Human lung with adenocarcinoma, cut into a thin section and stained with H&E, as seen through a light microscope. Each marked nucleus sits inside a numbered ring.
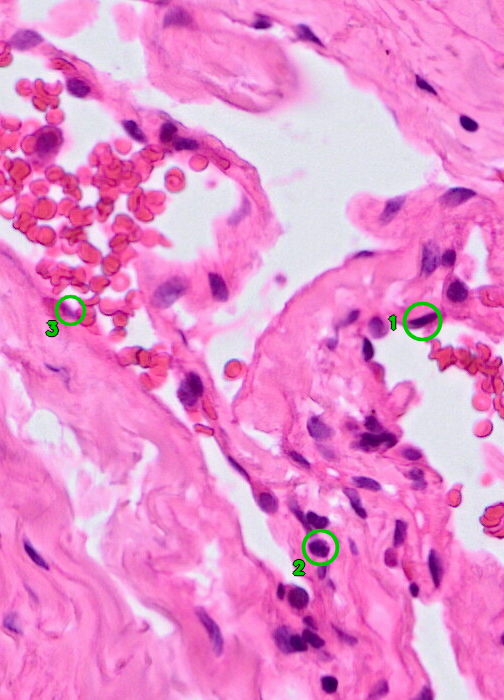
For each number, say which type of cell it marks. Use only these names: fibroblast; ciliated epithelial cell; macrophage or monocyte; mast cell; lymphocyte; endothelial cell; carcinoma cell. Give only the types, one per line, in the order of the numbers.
endothelial cell
lymphocyte
endothelial cell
